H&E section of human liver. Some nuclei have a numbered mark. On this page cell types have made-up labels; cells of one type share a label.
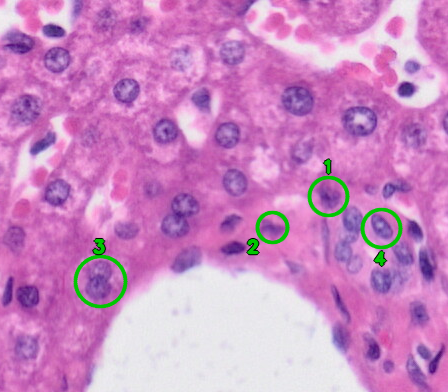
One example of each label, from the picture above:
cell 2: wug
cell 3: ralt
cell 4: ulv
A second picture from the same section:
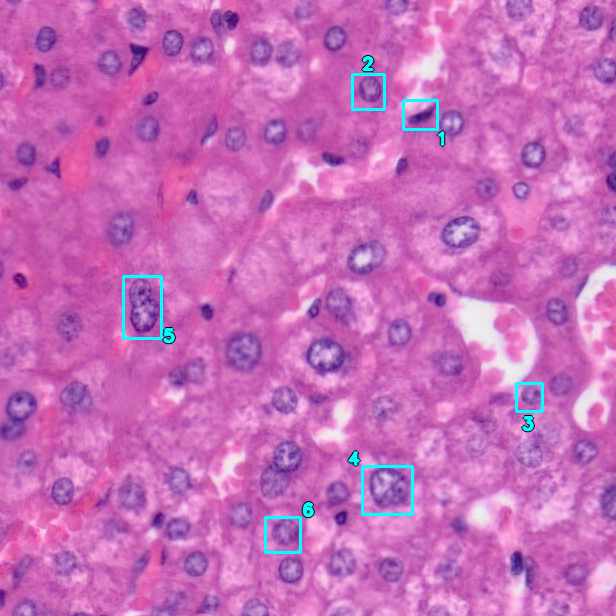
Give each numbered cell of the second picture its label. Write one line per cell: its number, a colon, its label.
1: wug
2: ralt
3: ulv
4: ralt
5: ralt
6: ralt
